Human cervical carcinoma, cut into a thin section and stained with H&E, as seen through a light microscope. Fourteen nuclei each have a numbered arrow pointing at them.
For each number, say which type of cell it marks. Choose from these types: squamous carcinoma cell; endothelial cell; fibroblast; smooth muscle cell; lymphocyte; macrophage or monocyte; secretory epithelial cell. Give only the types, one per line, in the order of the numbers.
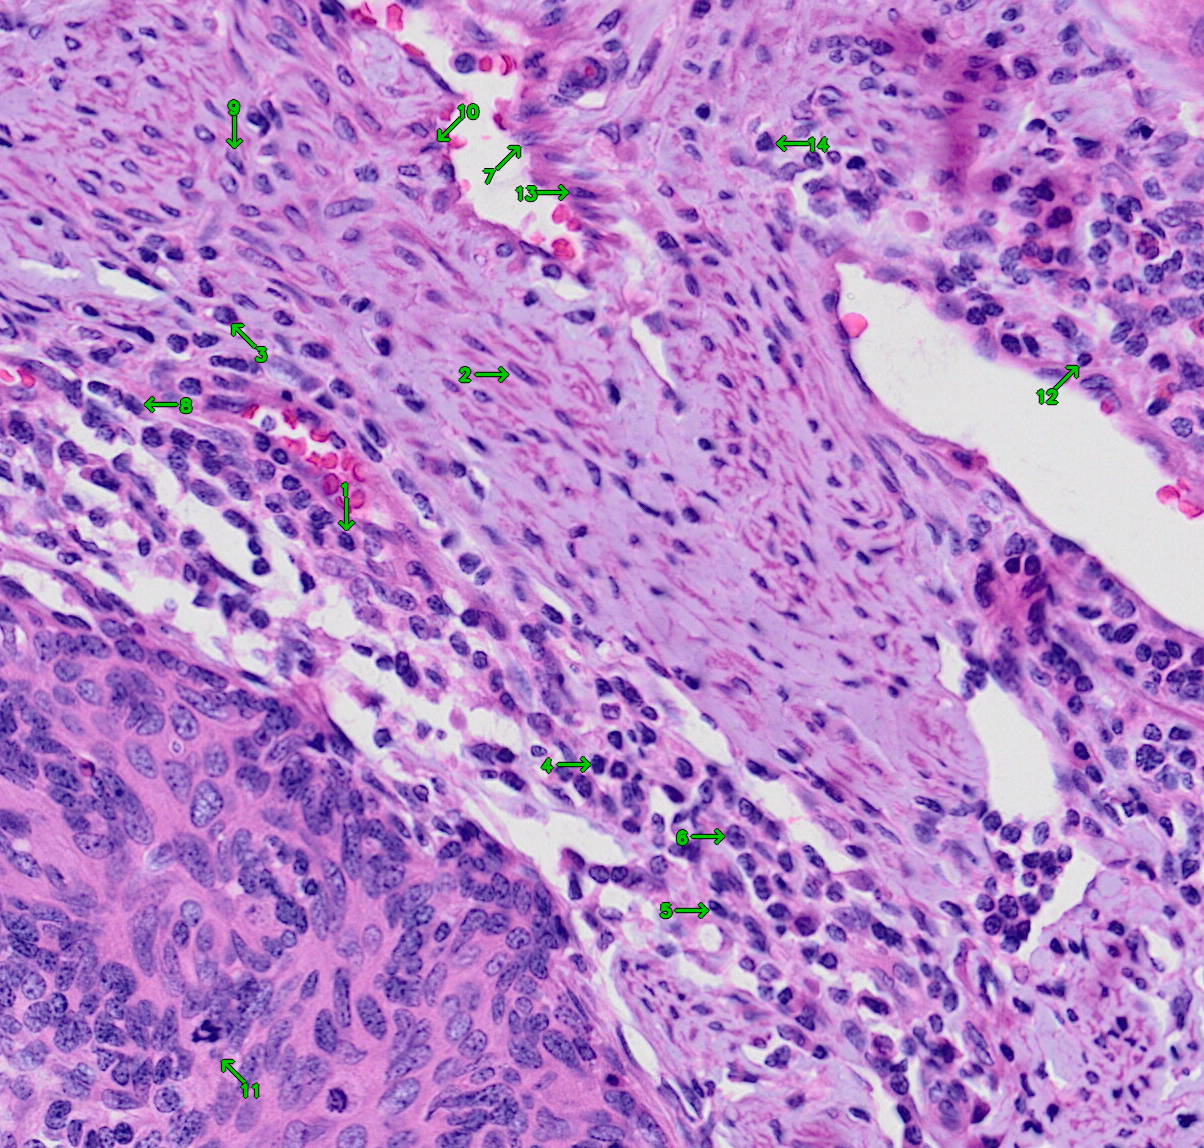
lymphocyte
smooth muscle cell
lymphocyte
lymphocyte
lymphocyte
lymphocyte
endothelial cell
lymphocyte
smooth muscle cell
endothelial cell
squamous carcinoma cell
lymphocyte
endothelial cell
lymphocyte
